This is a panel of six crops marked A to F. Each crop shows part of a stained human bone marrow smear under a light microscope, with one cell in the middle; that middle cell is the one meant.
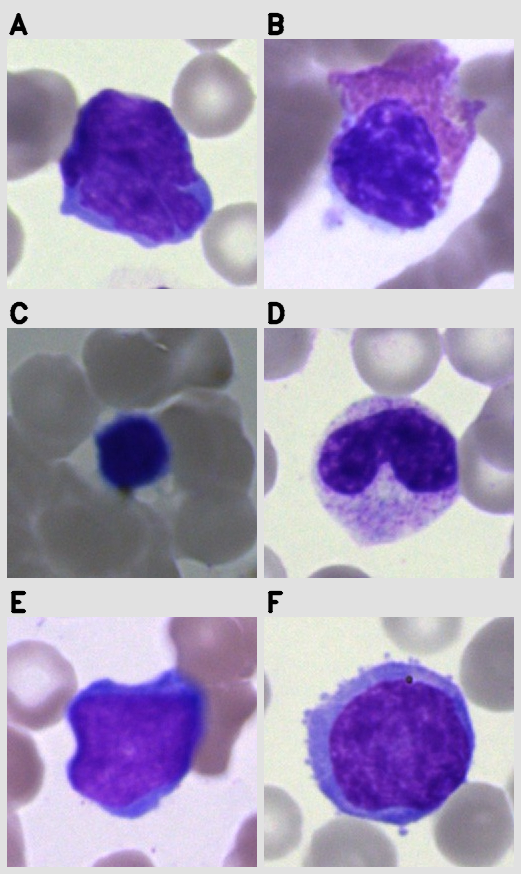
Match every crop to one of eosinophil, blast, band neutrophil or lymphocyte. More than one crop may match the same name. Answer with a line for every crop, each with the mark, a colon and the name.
A: blast
B: eosinophil
C: lymphocyte
D: band neutrophil
E: blast
F: blast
